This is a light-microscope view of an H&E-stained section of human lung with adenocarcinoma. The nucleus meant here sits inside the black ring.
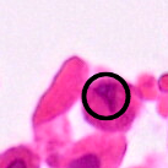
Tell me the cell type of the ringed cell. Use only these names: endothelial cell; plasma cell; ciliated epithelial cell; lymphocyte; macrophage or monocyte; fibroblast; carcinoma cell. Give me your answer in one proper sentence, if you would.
It is a macrophage or monocyte that the ringed cell represents.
